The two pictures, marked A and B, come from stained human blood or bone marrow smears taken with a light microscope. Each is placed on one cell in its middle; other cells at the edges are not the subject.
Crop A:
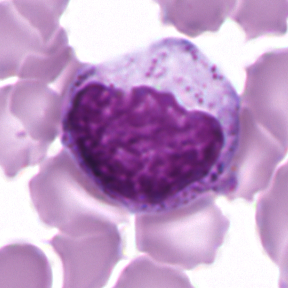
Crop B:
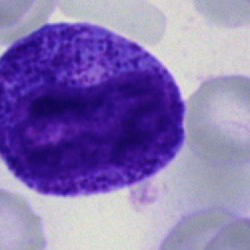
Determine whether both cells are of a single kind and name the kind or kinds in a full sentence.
Yes, both crops in the pair show myelocytes.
